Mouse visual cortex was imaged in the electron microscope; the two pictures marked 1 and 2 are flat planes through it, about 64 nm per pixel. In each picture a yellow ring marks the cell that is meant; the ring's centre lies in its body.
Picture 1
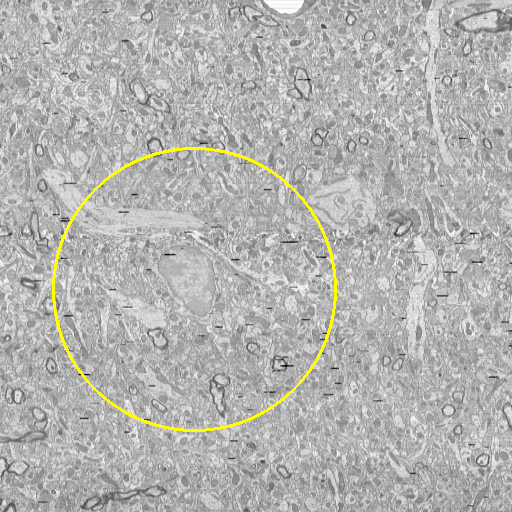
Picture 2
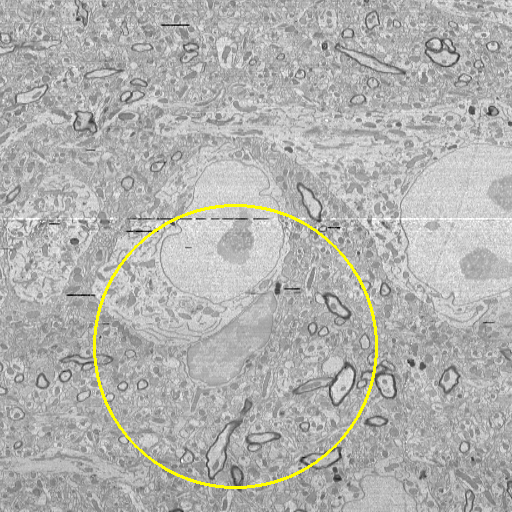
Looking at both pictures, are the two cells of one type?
Yes, both are microglial cells.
